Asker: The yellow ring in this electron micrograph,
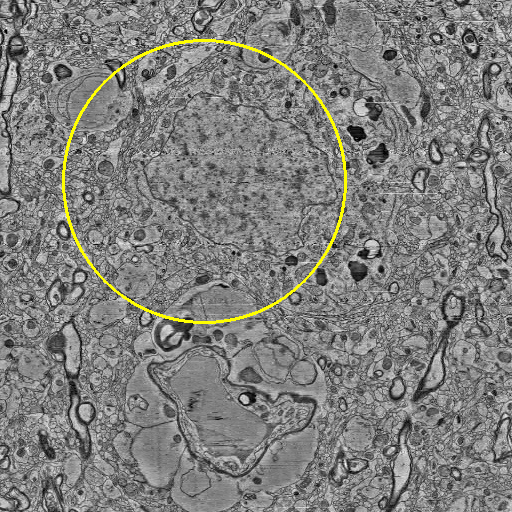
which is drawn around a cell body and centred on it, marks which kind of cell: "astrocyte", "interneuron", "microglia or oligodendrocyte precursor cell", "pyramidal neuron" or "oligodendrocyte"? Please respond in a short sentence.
The marked cell is a pyramidal neuron.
